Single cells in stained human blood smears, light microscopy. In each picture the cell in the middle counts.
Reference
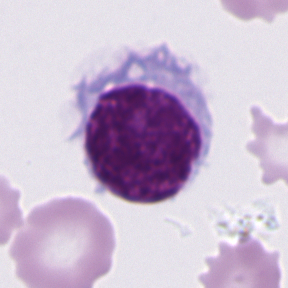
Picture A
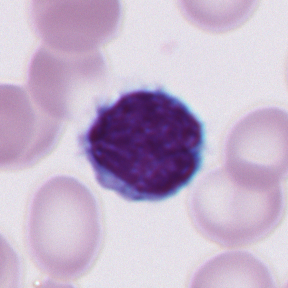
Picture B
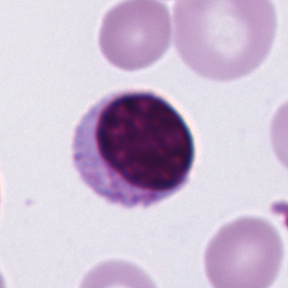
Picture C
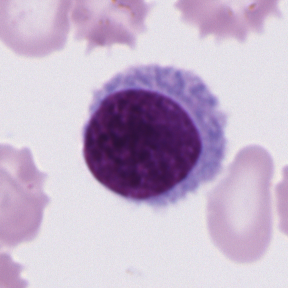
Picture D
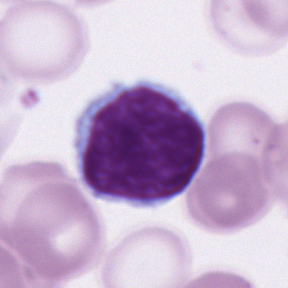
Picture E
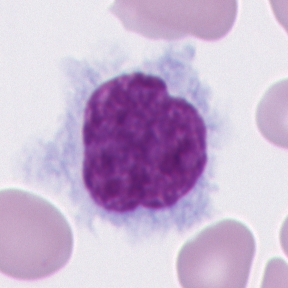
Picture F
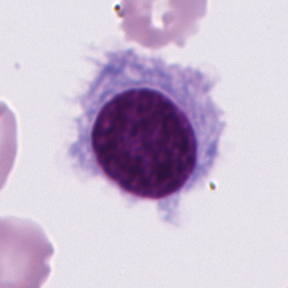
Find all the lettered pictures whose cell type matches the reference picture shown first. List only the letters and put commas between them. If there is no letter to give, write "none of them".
C, E, F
